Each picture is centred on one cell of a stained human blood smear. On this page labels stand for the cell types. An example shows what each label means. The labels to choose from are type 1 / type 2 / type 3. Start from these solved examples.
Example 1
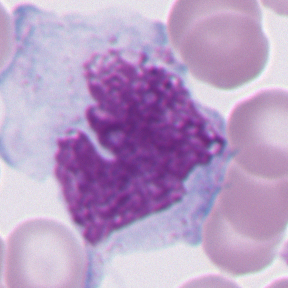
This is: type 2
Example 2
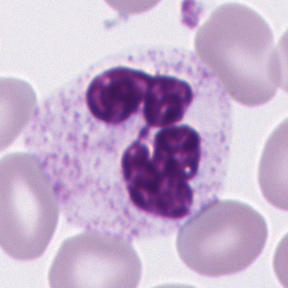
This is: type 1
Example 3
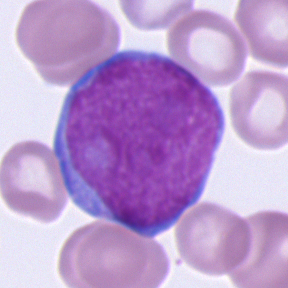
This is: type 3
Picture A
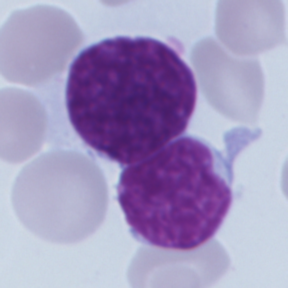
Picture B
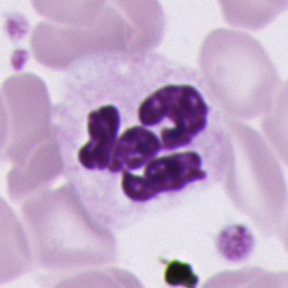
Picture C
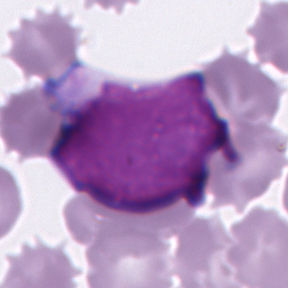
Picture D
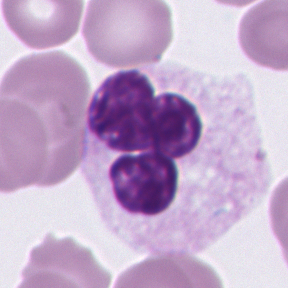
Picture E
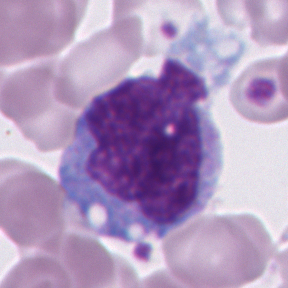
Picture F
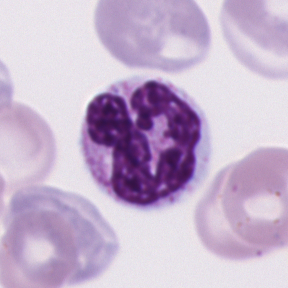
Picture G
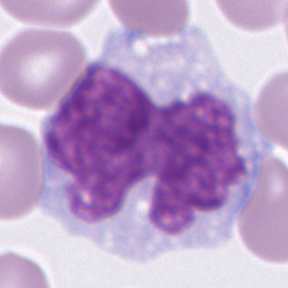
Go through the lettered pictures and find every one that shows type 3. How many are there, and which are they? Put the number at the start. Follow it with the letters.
2: A, C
